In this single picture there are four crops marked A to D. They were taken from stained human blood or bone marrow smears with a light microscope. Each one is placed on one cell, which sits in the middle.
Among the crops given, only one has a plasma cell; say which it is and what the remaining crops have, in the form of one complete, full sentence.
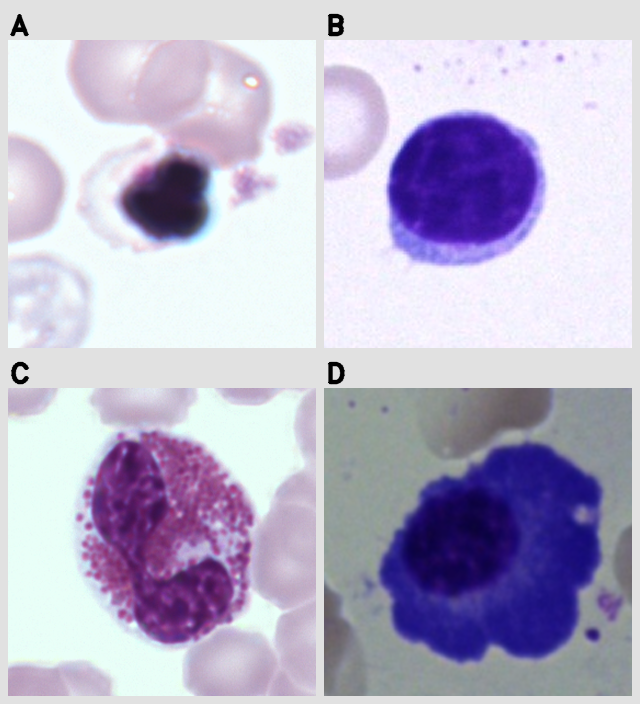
Crop D is identified as a plasma cell, whereas crop A is an erythroblast, crop B is a lymphocyte and crop C is an eosinophil.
